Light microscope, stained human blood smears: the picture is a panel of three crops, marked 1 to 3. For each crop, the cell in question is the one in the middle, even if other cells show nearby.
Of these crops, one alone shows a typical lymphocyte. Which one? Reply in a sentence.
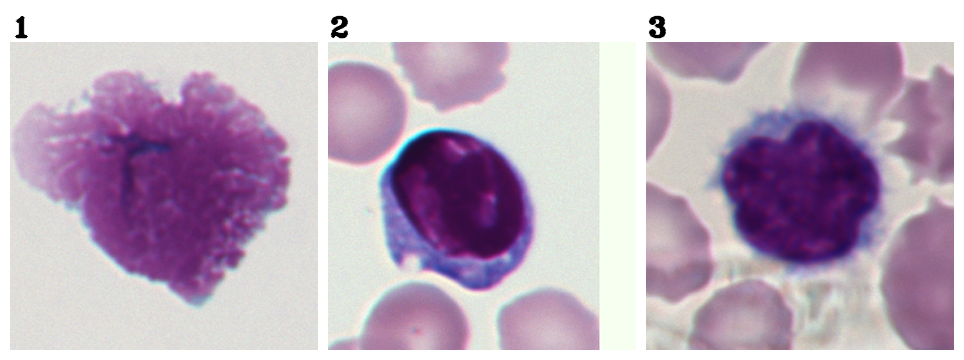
Here the crop that shows a typical lymphocyte is crop 2.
